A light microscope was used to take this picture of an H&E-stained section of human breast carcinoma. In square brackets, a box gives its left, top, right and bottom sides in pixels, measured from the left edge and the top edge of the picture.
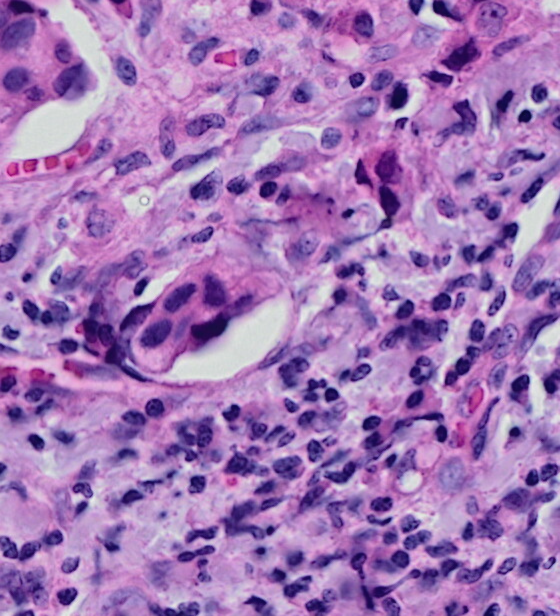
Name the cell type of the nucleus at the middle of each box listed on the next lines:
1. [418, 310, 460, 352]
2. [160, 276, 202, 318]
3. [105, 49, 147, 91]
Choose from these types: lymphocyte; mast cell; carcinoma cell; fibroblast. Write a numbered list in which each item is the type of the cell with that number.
1. lymphocyte
2. carcinoma cell
3. mast cell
